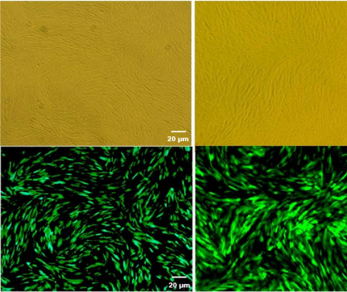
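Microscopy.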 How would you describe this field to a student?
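In the fluorescent views the cells are filled with green and stand out against a dark background. The cells are aligned side by side in parallel bundles that curve in whorls. In the bright-field views faint elongated cell outlines can be made out running in the same directions.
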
